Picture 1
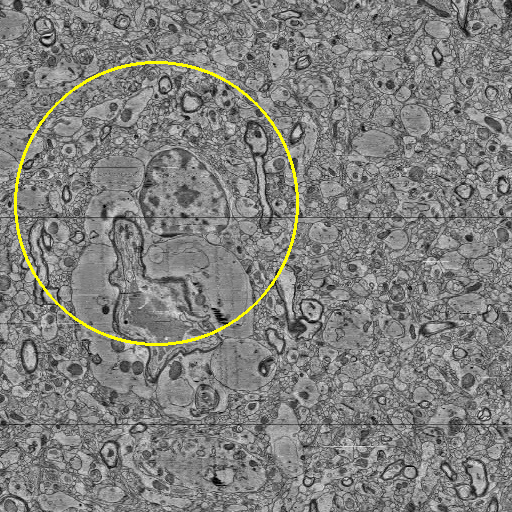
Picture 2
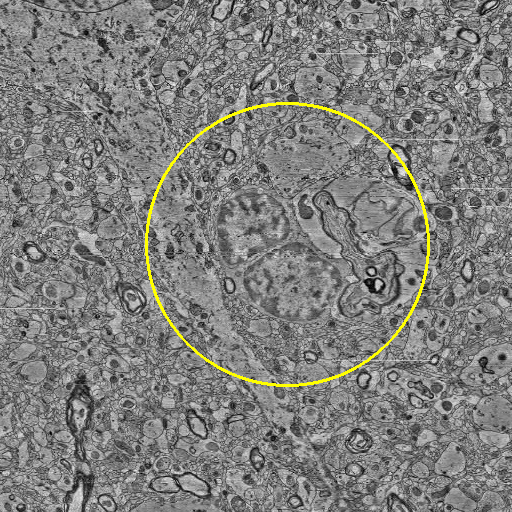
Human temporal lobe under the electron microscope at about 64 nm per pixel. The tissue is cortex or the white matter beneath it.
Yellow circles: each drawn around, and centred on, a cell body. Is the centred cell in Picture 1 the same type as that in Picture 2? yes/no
no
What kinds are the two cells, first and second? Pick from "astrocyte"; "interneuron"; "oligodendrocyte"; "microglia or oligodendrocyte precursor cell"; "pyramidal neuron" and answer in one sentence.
The second picture holds an oligodendrocyte in its ring, and the first holds a microglial cell or oligodendrocyte precursor cell.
